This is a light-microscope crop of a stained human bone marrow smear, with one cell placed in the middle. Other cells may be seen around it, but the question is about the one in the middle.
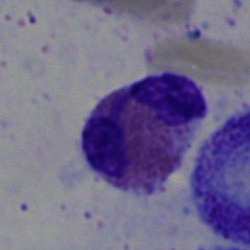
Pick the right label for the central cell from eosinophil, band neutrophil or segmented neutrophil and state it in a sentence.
Seen at the centre of the crop is an eosinophil.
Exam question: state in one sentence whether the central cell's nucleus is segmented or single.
The nucleus is divided into two or more distinct lobes.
